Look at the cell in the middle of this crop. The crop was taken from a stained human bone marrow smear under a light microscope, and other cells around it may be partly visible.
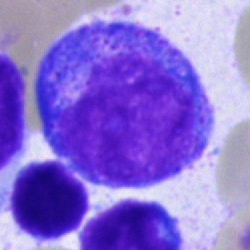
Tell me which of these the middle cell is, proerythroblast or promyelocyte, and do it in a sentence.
As for the cell in the middle, it is a promyelocyte.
